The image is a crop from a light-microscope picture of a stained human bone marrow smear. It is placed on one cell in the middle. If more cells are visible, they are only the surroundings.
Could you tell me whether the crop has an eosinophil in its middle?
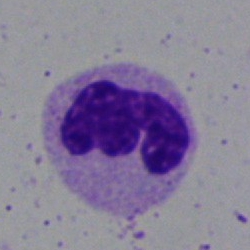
no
